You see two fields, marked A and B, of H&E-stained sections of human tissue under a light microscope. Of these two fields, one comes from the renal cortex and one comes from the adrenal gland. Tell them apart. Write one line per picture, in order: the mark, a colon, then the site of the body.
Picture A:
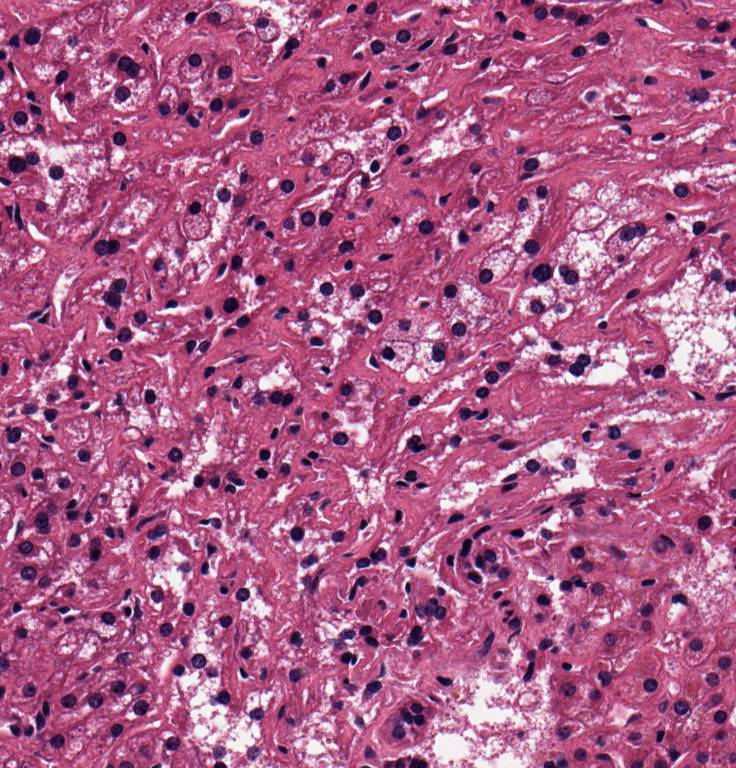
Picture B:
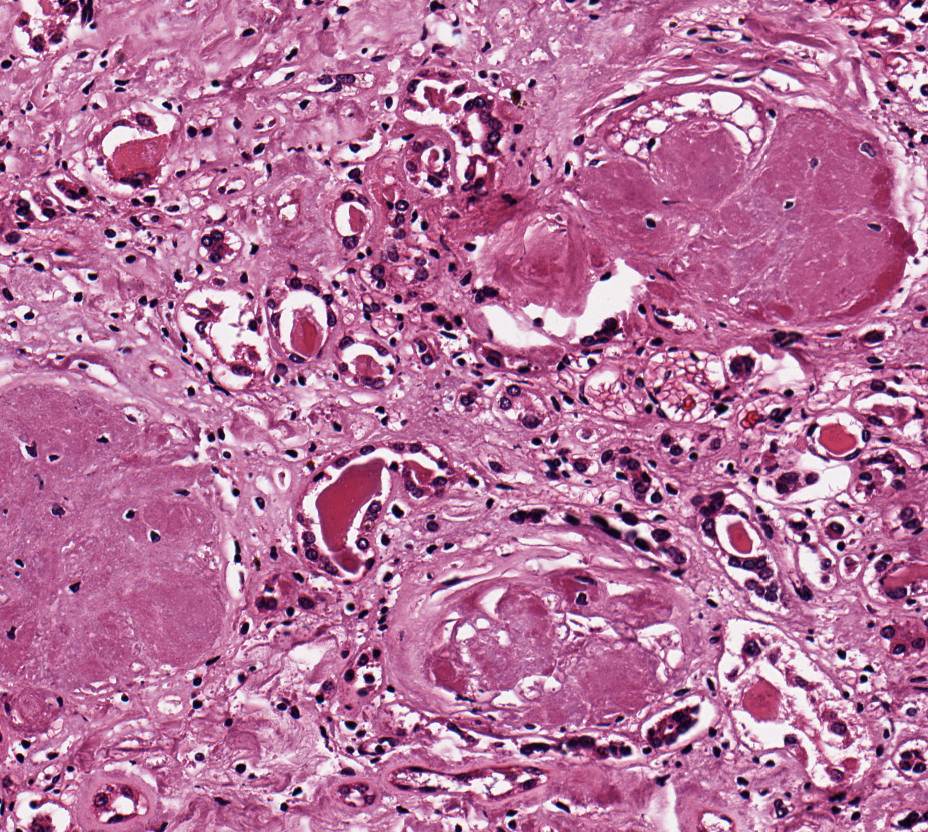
A: adrenal gland
B: renal cortex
